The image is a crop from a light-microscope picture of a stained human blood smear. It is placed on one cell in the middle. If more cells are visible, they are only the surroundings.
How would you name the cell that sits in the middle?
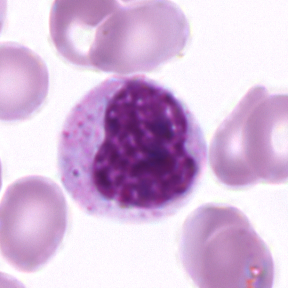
metamyelocyte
